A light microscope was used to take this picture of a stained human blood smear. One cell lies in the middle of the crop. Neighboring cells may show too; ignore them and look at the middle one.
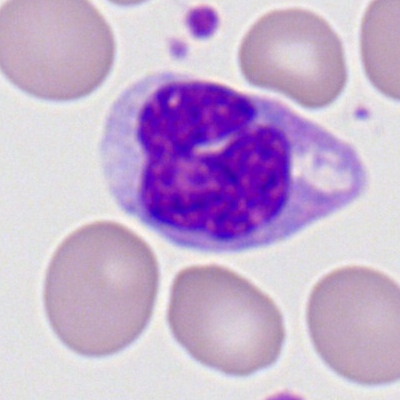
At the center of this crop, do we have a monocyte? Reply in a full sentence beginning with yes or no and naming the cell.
Yes, the cell that occupies the centre is a monocyte.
